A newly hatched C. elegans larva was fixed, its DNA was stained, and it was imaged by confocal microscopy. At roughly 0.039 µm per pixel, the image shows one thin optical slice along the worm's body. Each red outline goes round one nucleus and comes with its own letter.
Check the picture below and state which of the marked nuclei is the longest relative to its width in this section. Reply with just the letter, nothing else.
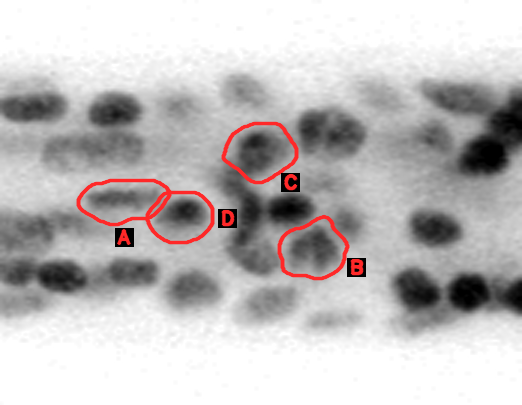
A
